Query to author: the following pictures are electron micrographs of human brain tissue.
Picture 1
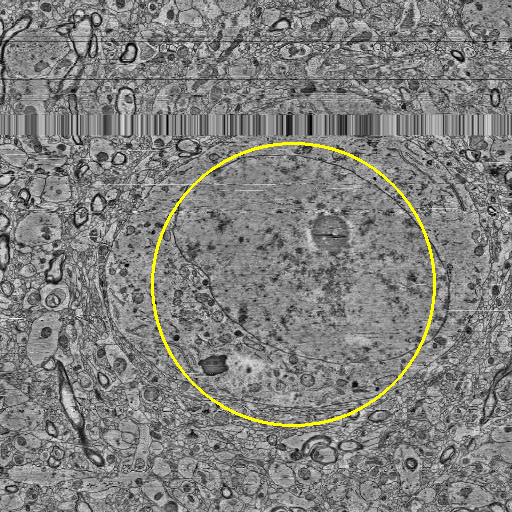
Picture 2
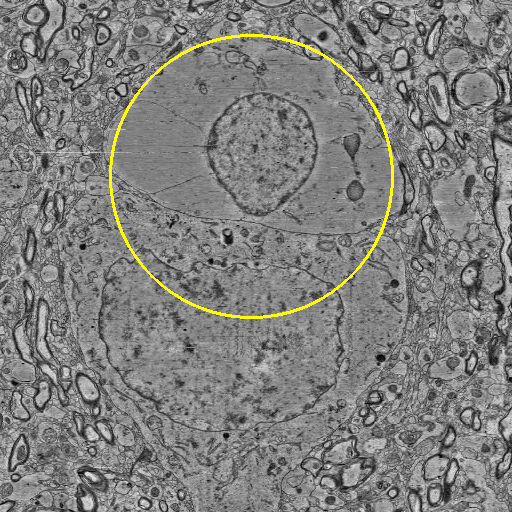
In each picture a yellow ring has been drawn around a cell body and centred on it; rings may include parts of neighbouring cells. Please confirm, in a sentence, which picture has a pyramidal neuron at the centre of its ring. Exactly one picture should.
Picture 1 has it at the centre of its ring.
